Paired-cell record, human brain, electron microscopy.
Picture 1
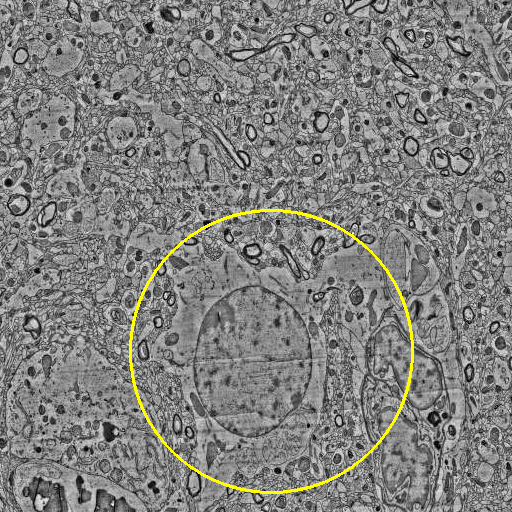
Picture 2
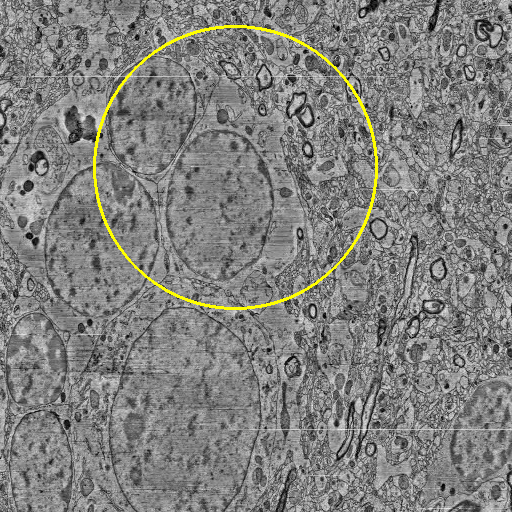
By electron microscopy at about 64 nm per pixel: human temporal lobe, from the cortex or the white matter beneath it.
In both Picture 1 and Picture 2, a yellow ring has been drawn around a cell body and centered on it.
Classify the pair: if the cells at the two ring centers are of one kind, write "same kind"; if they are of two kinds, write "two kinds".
same kind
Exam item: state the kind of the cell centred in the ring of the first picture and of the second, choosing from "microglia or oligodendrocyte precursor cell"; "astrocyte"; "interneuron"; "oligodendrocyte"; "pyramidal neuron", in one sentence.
Both the first and the second picture show an astrocyte in the ring.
